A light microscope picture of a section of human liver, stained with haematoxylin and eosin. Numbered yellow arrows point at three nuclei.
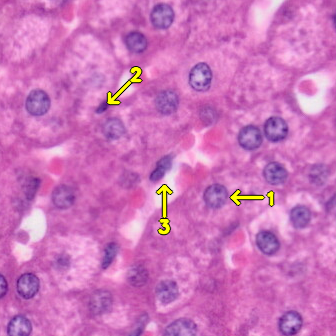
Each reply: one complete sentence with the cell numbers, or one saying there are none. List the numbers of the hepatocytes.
Exactly one numbered cell is a hepatocyte, and that cell is number 1.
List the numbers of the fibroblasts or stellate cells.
Only at number 2 is there a fibroblast or stellate cell among the marked cells.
